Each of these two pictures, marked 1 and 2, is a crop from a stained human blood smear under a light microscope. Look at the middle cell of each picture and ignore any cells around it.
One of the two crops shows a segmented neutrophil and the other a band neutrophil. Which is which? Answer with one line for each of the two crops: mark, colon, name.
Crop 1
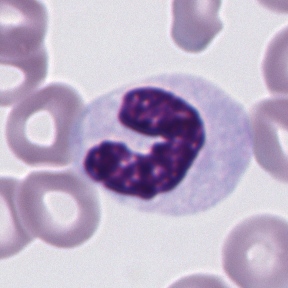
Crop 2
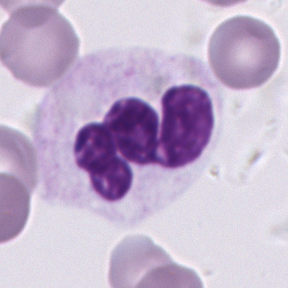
1: band neutrophil
2: segmented neutrophil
